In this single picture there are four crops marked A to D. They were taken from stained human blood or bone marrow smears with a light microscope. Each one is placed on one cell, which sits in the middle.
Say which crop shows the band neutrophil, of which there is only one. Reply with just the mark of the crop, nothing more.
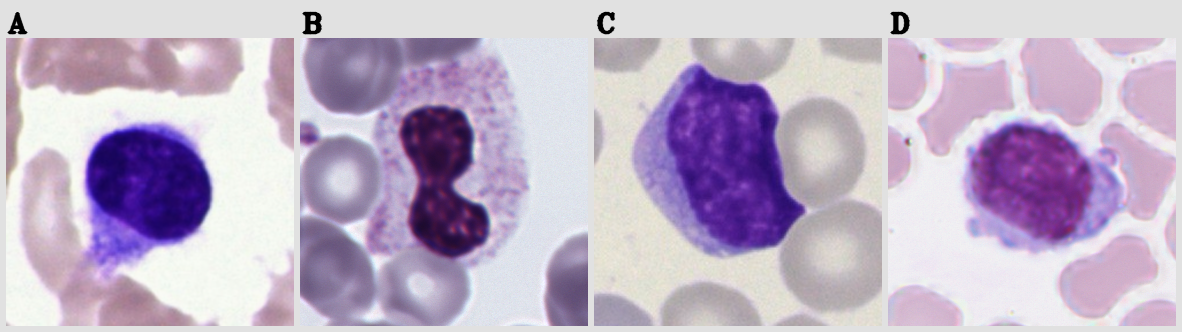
B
